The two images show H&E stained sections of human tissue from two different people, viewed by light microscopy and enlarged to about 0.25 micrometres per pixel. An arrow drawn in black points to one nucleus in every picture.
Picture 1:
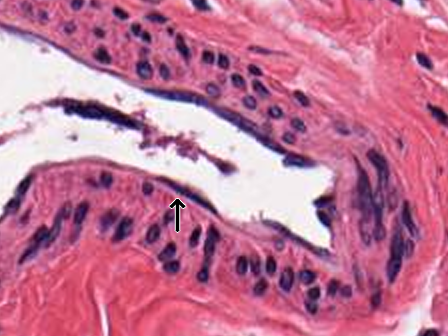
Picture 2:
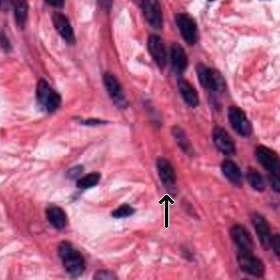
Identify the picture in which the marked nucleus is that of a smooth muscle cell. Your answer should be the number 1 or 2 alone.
2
